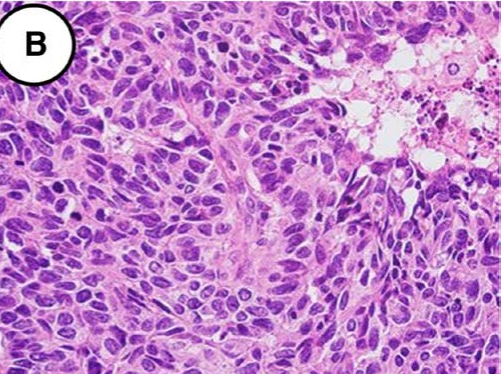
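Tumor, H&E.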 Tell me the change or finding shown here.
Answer: necrosis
